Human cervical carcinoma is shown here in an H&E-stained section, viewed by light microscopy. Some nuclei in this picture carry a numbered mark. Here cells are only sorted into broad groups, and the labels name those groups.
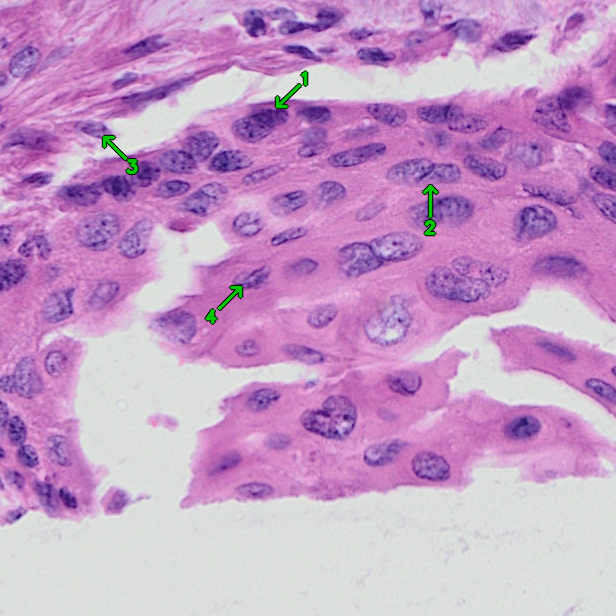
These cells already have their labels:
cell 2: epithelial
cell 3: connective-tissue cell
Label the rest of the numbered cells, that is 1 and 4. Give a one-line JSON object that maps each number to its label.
{"1": "epithelial", "4": "epithelial"}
